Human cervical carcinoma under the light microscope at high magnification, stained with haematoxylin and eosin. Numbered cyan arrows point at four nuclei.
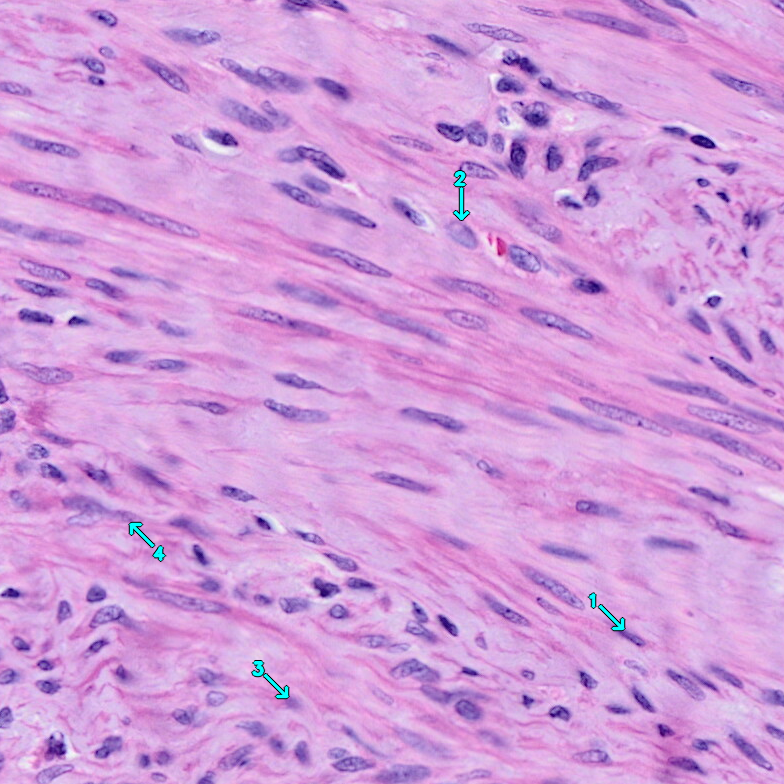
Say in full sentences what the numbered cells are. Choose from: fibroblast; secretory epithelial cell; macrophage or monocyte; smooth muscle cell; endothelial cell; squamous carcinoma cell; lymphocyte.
Cells 1, 3 and 4 are smooth muscle cells. Cell 2 is an endothelial cell.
